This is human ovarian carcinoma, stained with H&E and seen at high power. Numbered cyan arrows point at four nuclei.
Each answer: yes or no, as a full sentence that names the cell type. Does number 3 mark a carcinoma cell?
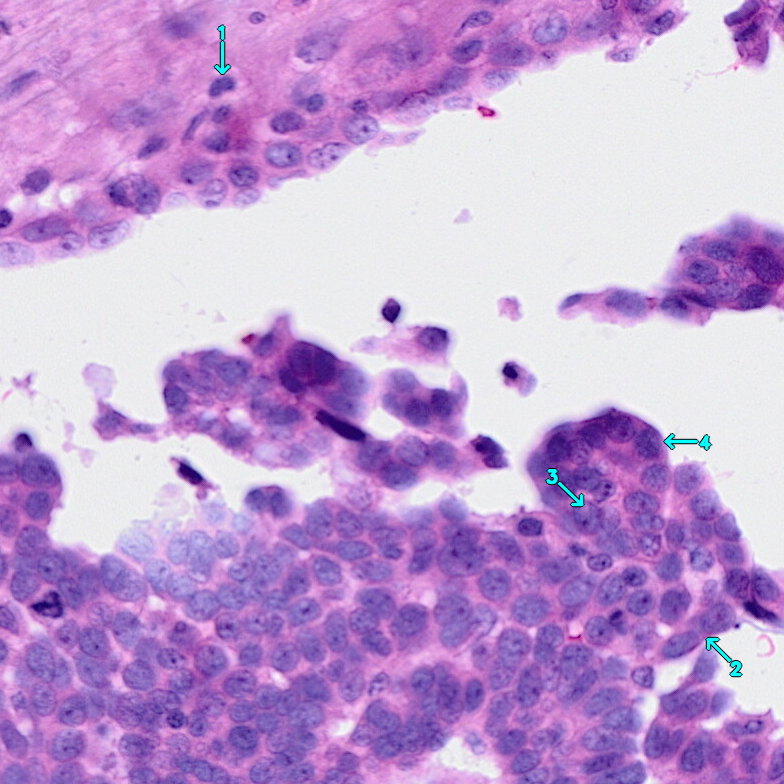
Yes, the cell tagged with number 3 is a carcinoma cell.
